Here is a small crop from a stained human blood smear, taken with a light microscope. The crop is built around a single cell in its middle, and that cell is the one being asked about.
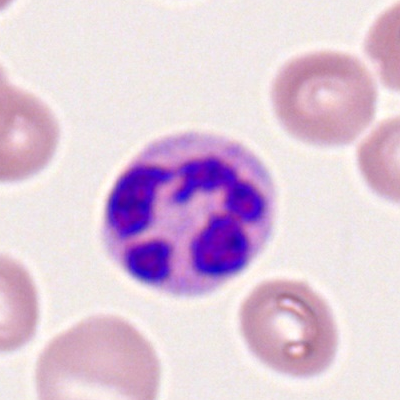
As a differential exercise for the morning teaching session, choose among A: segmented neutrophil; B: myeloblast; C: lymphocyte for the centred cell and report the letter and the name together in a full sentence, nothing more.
Correctly, option A names the cell in the middle a segmented neutrophil.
